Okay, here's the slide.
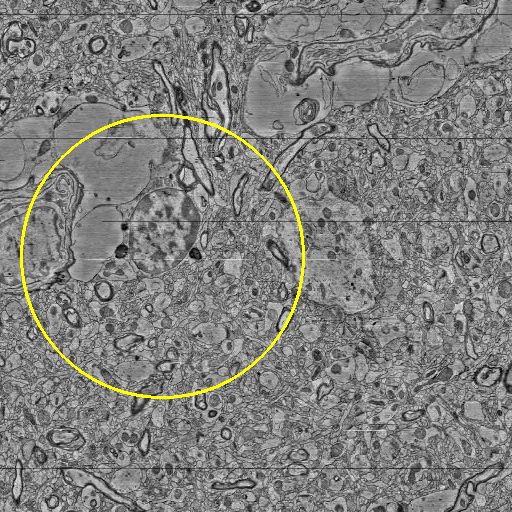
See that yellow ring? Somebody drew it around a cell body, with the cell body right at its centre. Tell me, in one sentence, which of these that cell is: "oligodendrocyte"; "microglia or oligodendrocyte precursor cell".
The cell in the middle of the ring is a microglial cell or oligodendrocyte precursor cell.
